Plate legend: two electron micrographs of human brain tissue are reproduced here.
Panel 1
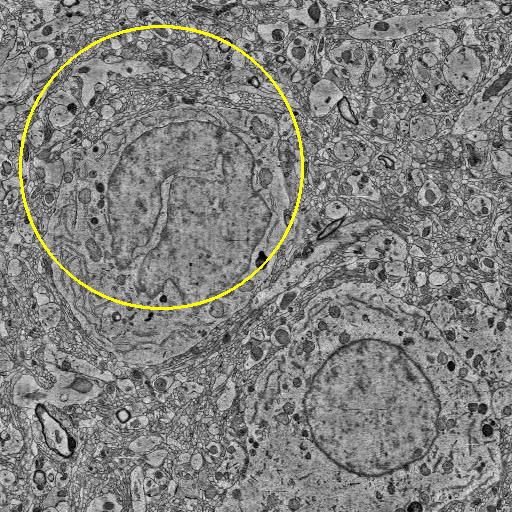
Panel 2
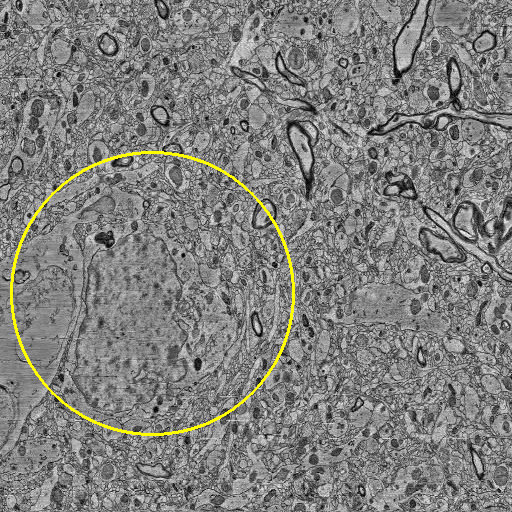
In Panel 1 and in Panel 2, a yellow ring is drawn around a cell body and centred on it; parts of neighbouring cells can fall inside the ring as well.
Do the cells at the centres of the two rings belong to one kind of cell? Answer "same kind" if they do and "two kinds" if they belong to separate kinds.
same kind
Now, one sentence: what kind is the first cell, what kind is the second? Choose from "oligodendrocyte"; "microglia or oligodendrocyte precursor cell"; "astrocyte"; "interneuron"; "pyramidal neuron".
The ring centre holds an interneuron in each of the two pictures.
